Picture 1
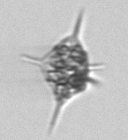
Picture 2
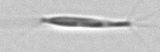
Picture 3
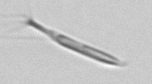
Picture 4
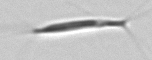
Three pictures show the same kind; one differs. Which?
Picture 1: a silicoflagellate, while the others are Calciosolenia.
